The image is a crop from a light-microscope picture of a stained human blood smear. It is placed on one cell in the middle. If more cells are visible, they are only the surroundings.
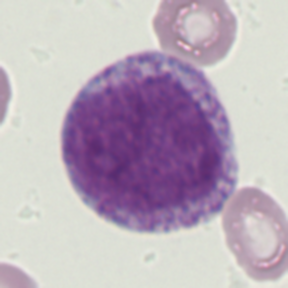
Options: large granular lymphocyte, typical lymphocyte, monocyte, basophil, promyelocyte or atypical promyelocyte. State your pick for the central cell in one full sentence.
The middle of this crop is occupied by a promyelocyte.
